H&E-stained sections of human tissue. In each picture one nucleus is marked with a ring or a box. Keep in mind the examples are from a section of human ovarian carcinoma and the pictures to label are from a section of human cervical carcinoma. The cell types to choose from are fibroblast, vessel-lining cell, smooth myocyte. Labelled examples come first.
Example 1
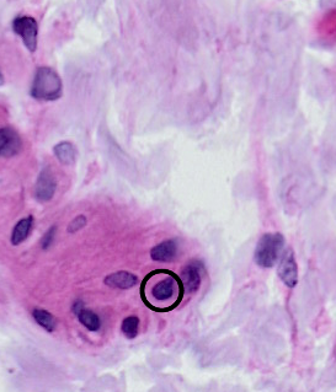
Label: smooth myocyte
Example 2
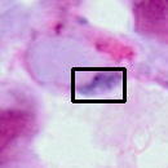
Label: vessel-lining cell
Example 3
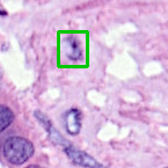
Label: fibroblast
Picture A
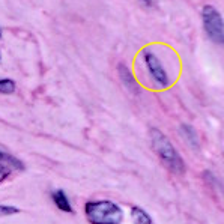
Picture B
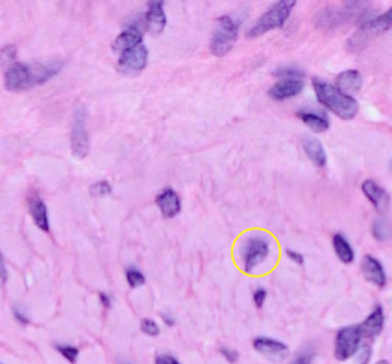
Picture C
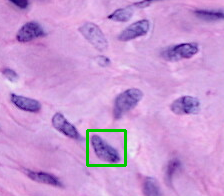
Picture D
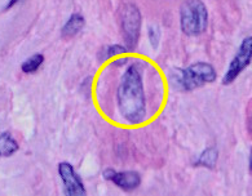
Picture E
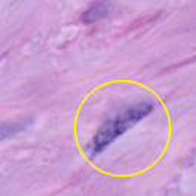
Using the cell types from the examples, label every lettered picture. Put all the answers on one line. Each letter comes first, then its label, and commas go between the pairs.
A smooth myocyte, B fibroblast, C fibroblast, D vessel-lining cell, E fibroblast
